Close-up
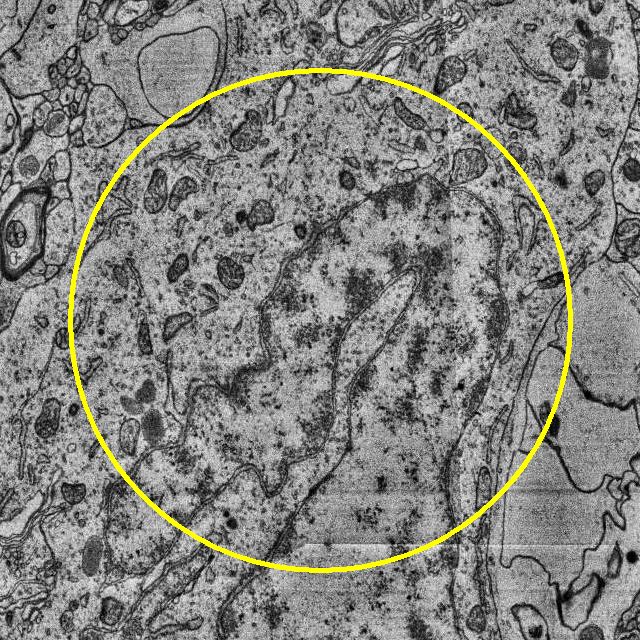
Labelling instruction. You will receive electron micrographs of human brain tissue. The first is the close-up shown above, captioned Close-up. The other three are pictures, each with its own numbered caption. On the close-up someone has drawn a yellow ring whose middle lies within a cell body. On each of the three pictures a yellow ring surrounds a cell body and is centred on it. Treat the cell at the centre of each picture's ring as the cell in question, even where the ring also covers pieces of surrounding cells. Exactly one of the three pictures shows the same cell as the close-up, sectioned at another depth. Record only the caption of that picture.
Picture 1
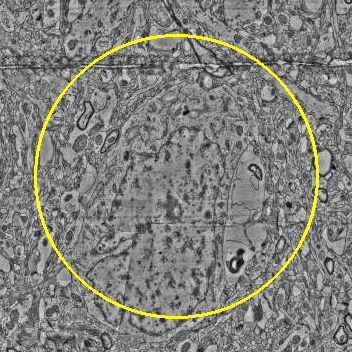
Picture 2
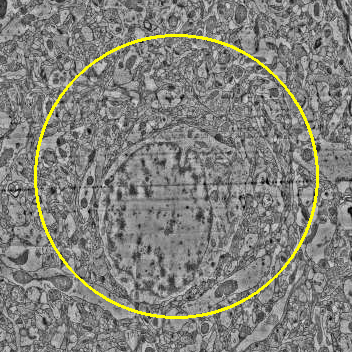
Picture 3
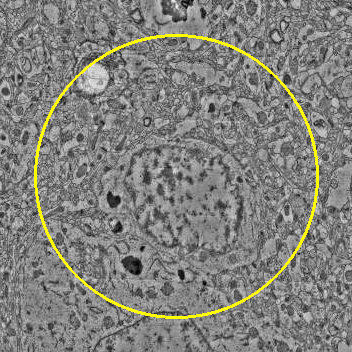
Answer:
Picture 1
